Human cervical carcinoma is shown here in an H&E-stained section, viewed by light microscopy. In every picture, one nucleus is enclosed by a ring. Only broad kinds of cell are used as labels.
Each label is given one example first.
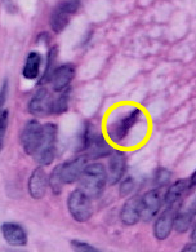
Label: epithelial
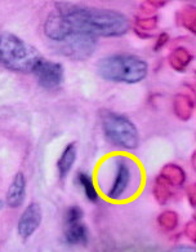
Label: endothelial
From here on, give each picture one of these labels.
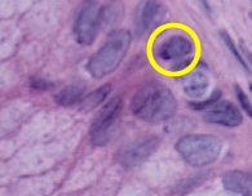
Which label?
epithelial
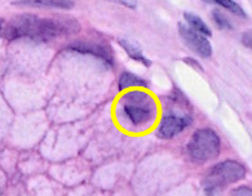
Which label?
epithelial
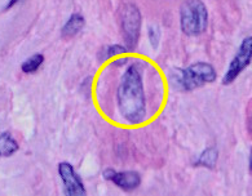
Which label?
endothelial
